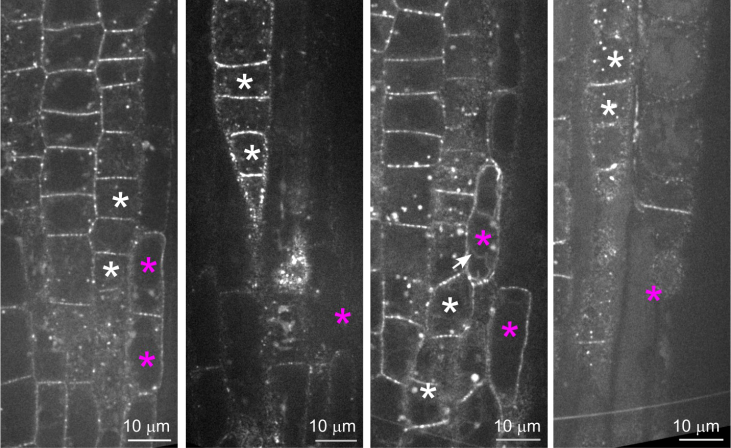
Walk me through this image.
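A section through the meristematic zone shows short, boxy rhizodermis cells in files with bright dotted outlines and cytoplasmic puncta, flanked on the outside by elongated lateral root cap cells. Some cells contain rounded internal compartments with a bright rim.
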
